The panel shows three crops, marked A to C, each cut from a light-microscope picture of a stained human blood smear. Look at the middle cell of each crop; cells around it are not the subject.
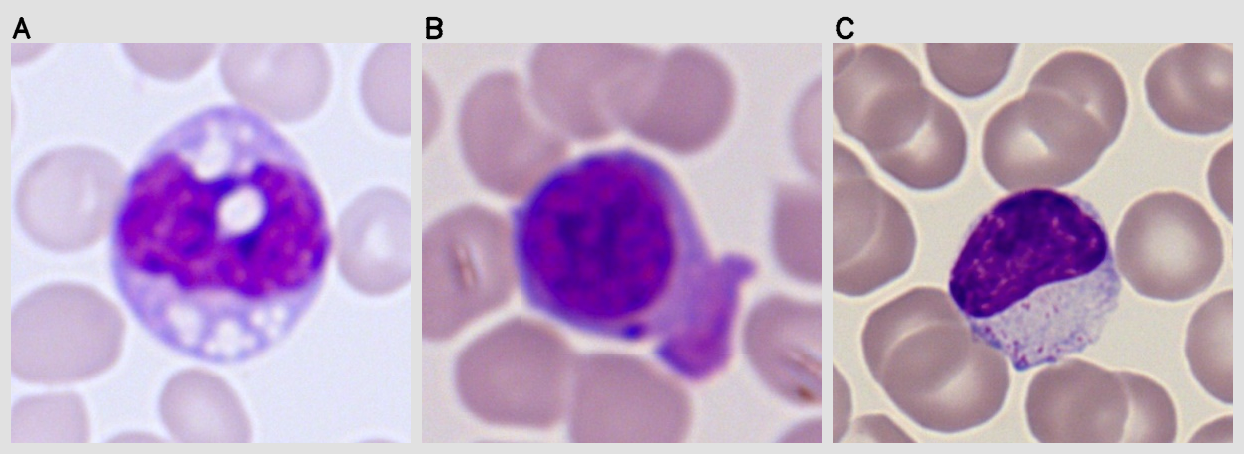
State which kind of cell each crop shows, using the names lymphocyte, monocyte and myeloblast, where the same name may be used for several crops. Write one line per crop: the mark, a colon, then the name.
A: monocyte
B: myeloblast
C: lymphocyte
